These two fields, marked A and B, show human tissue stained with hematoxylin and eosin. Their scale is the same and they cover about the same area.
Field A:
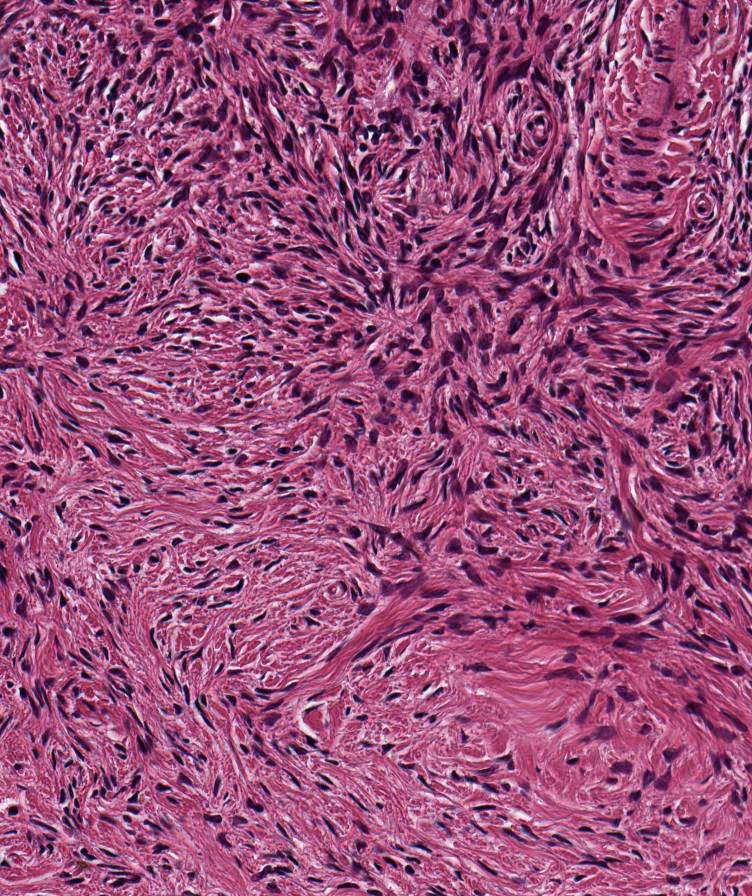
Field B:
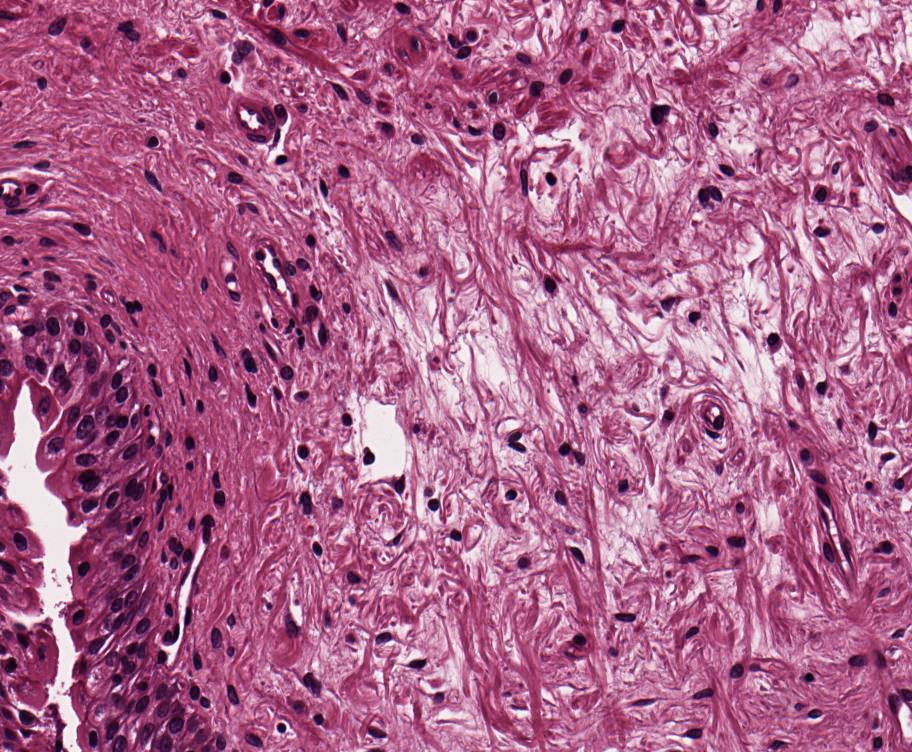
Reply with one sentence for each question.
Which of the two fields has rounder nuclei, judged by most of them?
The nuclei are rounder in field B.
